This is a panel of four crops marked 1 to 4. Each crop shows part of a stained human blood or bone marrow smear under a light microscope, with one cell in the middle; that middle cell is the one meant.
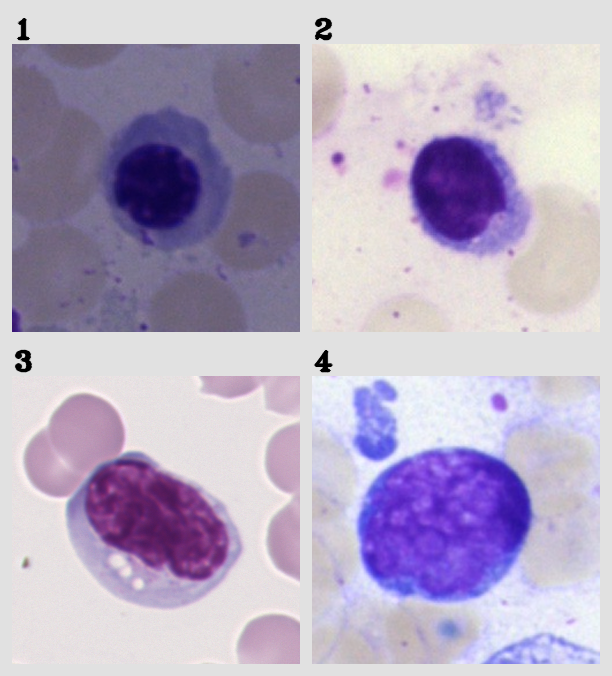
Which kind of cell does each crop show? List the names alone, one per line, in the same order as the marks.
normoblast
lymphocyte
lymphocyte
blast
